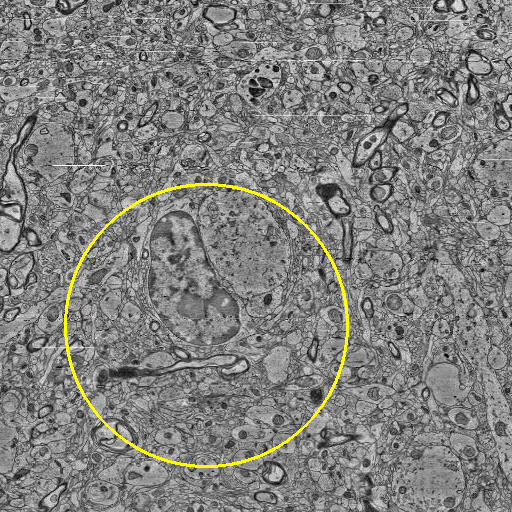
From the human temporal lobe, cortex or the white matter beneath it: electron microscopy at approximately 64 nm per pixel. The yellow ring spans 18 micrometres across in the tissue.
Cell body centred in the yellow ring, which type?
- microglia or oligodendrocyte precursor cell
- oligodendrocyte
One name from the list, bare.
microglia or oligodendrocyte precursor cell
